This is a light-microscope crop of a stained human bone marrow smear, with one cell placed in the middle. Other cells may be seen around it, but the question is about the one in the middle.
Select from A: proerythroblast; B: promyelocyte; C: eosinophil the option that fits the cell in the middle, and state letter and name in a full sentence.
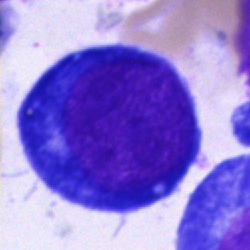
The cell at the centre is a proerythroblast, and option A accordingly is correct.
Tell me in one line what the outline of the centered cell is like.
In short, the margin is smooth with no projections at all.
